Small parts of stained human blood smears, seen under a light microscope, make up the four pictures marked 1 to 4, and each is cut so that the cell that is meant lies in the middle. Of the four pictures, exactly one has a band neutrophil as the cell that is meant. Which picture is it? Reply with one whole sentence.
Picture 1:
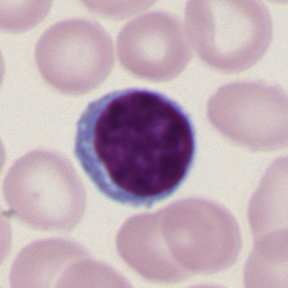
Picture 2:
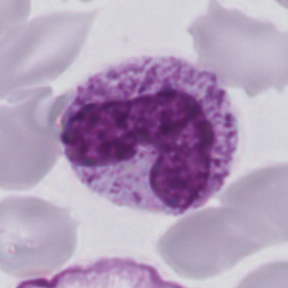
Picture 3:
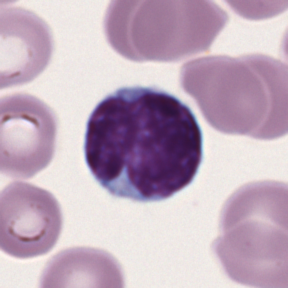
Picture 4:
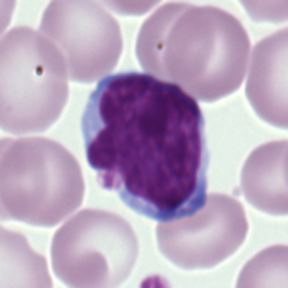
Picture 2 is the one that shows the band neutrophil.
